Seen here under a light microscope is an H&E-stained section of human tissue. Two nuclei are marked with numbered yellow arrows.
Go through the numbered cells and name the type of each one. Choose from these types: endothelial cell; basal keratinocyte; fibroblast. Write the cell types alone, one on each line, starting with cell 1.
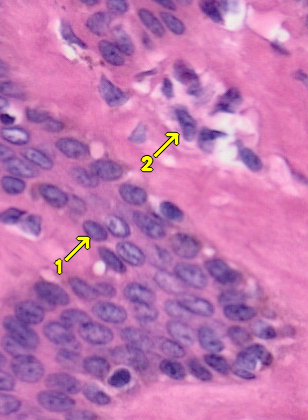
basal keratinocyte
endothelial cell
